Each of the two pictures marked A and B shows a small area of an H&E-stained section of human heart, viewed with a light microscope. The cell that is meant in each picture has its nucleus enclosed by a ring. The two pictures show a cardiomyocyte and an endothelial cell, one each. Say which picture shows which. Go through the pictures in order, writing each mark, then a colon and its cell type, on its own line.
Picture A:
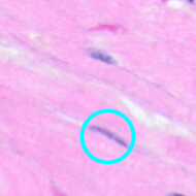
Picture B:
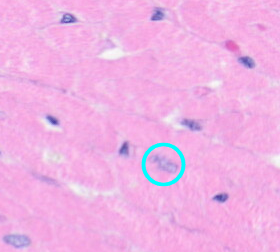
A: endothelial cell
B: cardiomyocyte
